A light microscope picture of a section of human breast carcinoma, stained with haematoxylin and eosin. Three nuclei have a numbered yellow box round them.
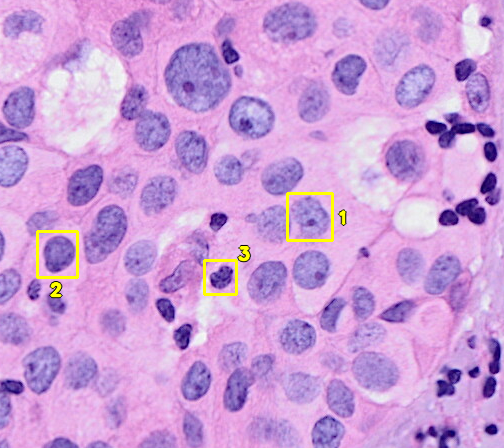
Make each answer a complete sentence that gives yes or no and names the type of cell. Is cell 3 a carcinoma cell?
No, the marked cell 3 is not a carcinoma cell, being instead a lymphocyte.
